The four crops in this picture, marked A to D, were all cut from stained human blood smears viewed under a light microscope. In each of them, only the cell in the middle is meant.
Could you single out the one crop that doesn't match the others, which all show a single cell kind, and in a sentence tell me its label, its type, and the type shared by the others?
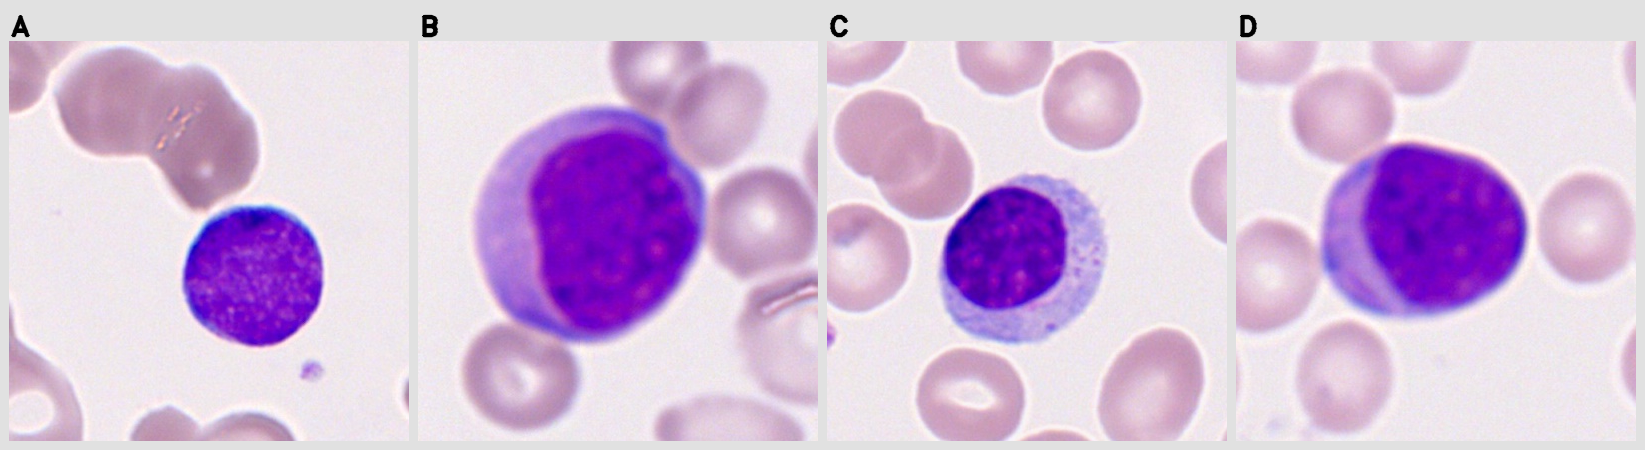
As the exception to the myeloblasts in the other crops, crop C shows a lymphocyte.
